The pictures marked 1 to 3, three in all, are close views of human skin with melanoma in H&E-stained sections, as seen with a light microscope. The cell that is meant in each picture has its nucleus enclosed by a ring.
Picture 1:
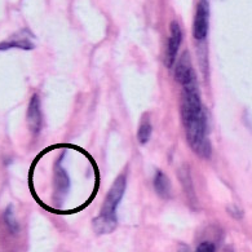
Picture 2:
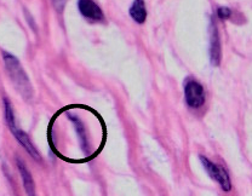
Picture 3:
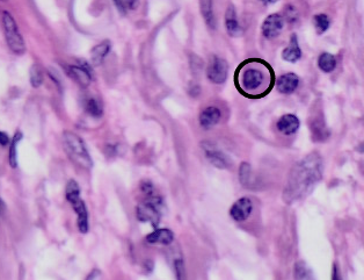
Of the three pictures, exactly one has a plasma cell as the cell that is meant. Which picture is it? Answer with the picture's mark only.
3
